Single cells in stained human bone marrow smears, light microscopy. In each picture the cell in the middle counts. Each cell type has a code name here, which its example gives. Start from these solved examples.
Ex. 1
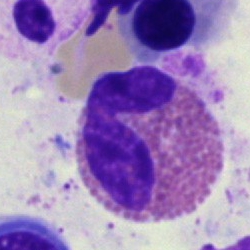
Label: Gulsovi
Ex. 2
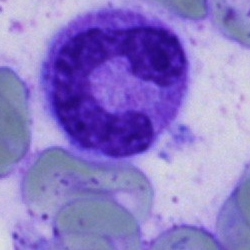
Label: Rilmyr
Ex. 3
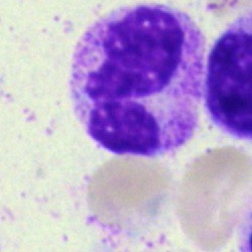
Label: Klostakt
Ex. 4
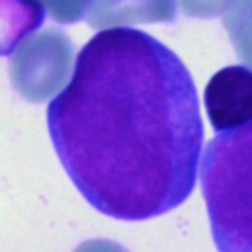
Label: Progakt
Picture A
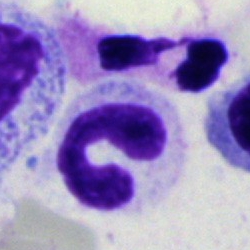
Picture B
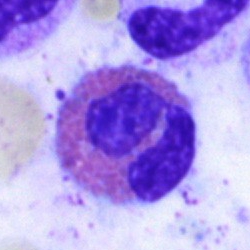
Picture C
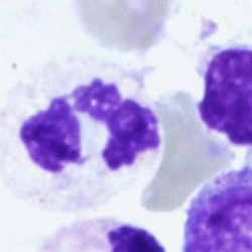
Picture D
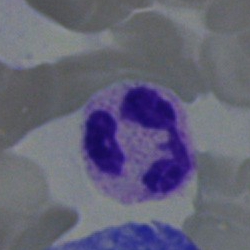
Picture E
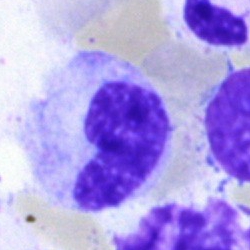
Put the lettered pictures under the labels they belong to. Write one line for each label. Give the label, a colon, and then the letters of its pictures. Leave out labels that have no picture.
Gulsovi: B
Rilmyr: E
Klostakt: A, C, D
